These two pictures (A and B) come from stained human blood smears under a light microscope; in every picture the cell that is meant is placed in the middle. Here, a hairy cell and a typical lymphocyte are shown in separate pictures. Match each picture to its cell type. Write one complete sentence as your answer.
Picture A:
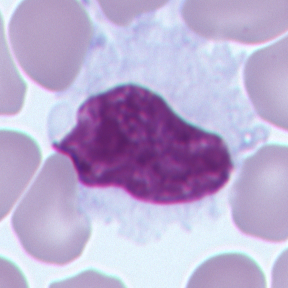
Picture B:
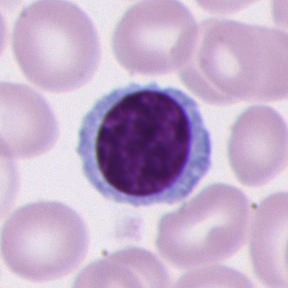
In picture A the cell is a hairy cell; in picture B, a typical lymphocyte.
